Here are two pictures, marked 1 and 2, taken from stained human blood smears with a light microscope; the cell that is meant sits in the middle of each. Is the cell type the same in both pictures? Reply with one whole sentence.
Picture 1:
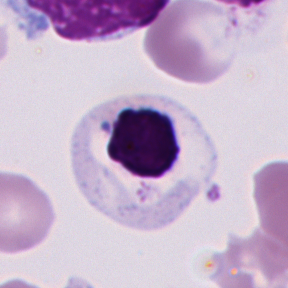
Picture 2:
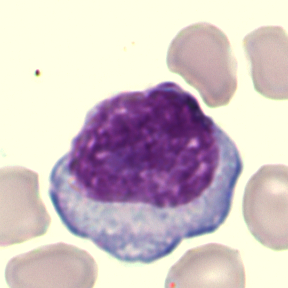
No, they differ: the cell is a normoblast in picture 1 and a plasma cell in picture 2.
